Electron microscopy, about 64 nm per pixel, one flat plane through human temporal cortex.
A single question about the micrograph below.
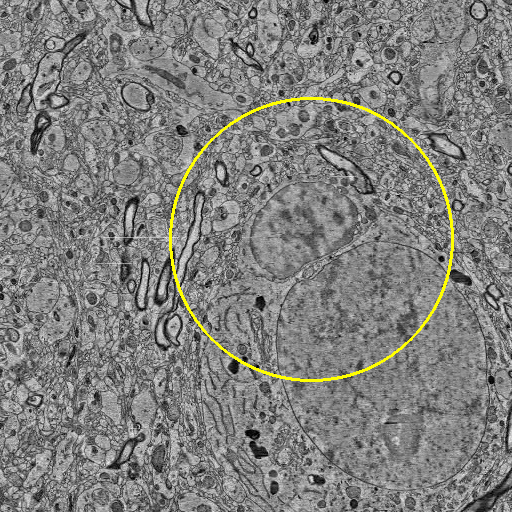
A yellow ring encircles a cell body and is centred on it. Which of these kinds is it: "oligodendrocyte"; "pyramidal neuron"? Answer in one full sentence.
The cell body at the centre of the yellow ring belongs to an oligodendrocyte.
